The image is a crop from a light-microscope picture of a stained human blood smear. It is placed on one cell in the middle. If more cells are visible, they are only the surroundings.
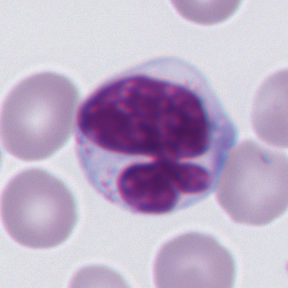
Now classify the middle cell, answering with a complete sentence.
In the central position of this crop, the cell is a large granular lymphocyte.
